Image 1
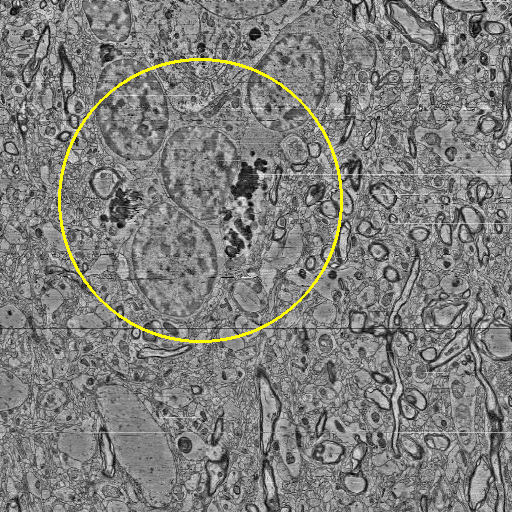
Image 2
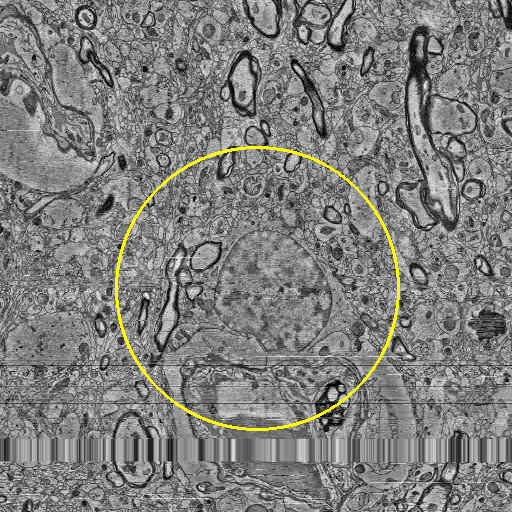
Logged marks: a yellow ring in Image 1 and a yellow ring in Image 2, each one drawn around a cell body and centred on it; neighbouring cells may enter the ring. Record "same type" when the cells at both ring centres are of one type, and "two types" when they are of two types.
same type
